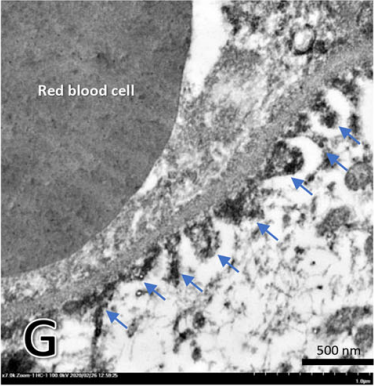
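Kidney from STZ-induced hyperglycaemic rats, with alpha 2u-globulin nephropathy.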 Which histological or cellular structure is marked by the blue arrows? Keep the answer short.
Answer: Podocyte foot processes.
